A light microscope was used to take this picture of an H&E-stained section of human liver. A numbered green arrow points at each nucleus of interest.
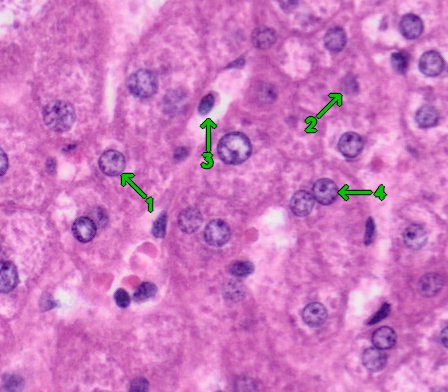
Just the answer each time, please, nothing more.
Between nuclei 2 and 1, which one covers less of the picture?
2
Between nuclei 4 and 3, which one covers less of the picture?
3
